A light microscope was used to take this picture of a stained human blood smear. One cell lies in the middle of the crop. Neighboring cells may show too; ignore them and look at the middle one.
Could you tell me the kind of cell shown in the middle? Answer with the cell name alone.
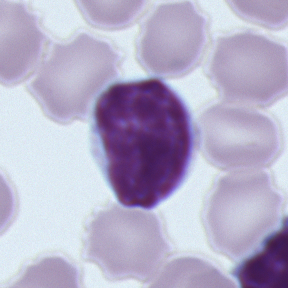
lymphocyte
